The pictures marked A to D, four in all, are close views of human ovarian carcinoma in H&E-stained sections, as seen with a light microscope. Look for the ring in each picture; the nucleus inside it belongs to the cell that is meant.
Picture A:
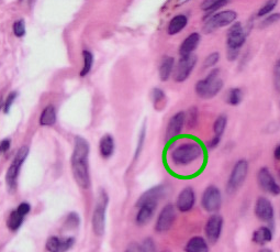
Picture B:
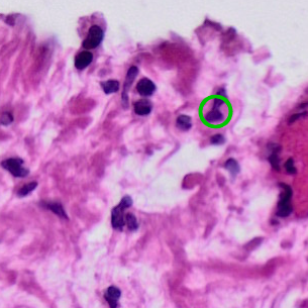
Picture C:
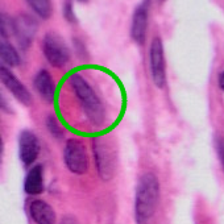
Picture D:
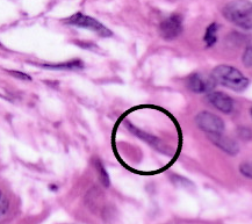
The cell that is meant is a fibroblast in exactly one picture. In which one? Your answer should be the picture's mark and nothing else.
D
